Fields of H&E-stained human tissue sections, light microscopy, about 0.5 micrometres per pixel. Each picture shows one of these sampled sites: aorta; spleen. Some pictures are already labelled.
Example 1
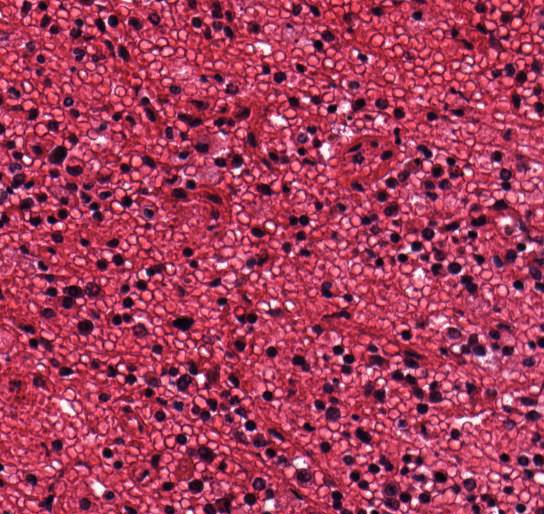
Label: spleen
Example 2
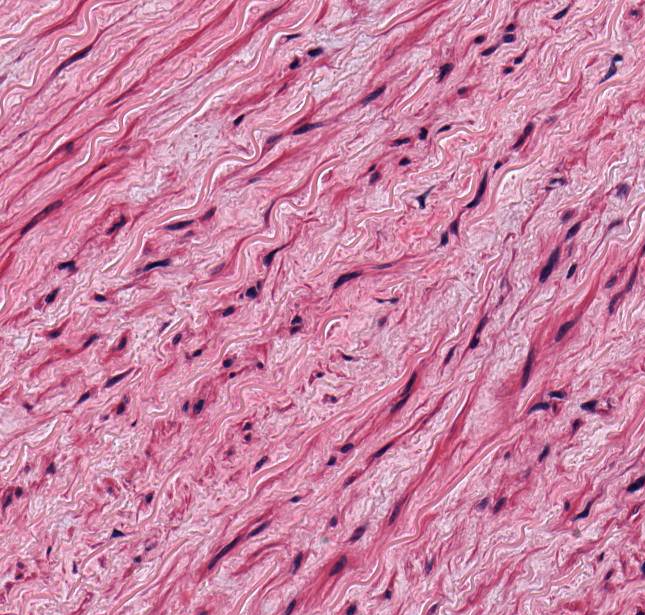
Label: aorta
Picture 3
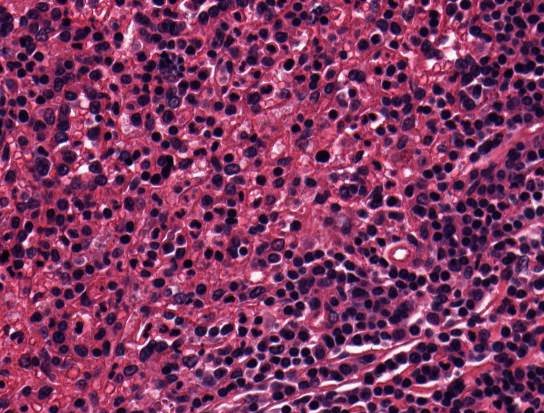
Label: spleen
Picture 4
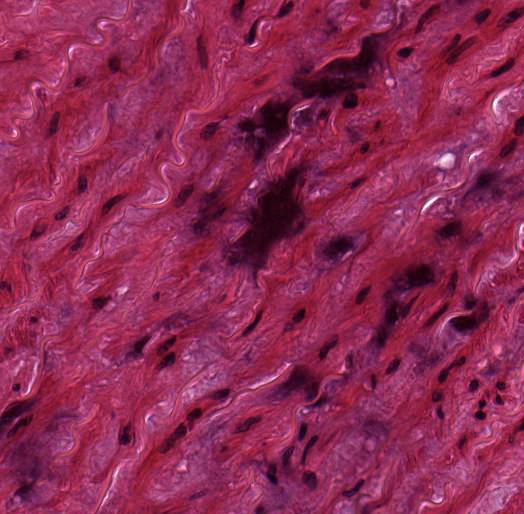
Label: aorta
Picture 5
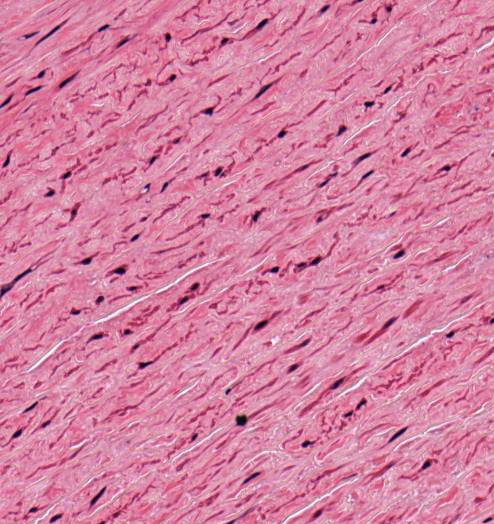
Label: aorta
